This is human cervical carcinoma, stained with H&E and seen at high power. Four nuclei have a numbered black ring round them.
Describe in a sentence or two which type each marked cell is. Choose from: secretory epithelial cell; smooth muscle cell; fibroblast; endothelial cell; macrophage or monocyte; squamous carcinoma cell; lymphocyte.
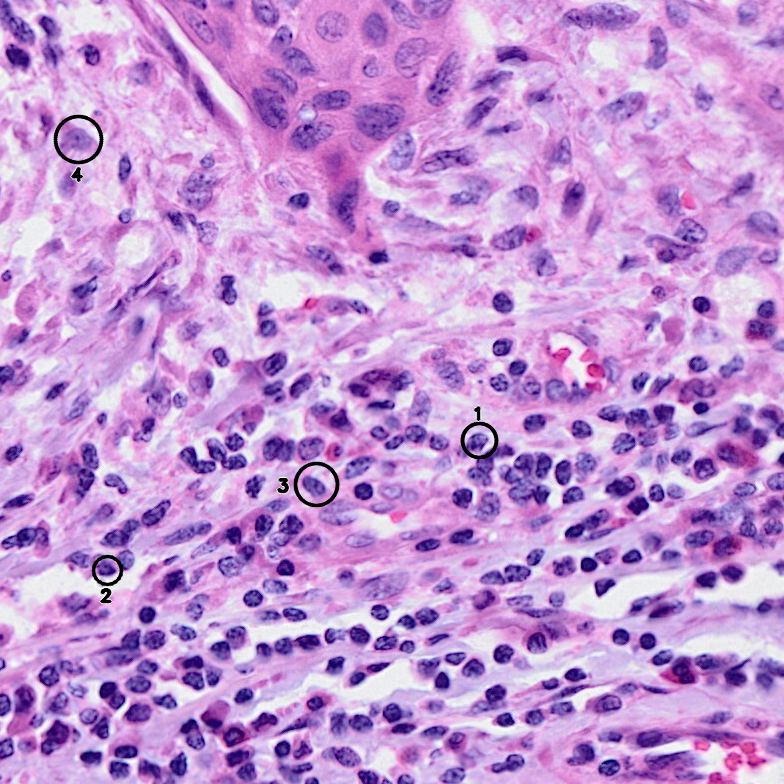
Cell 1 is a lymphocyte, cell 2 is a lymphocyte, cell 3 is a lymphocyte and cell 4 is a fibroblast.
